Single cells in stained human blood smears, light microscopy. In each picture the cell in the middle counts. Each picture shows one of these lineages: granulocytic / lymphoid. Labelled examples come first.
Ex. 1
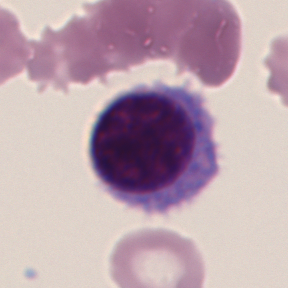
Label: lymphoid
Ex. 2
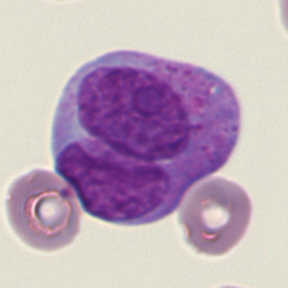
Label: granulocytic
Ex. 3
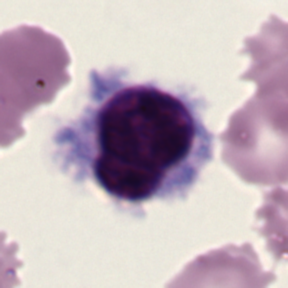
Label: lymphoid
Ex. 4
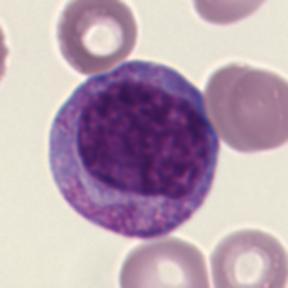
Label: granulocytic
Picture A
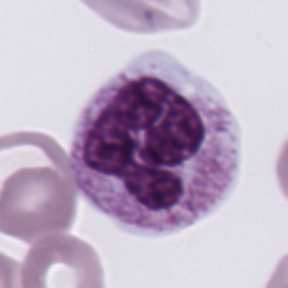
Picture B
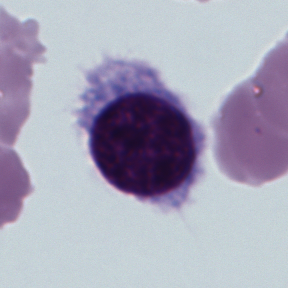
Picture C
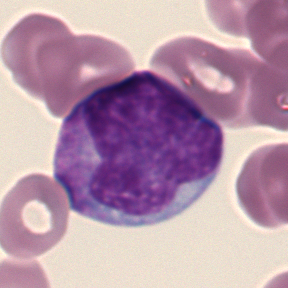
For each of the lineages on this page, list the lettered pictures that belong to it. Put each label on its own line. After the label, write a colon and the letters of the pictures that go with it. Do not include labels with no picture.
granulocytic: A, C
lymphoid: B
